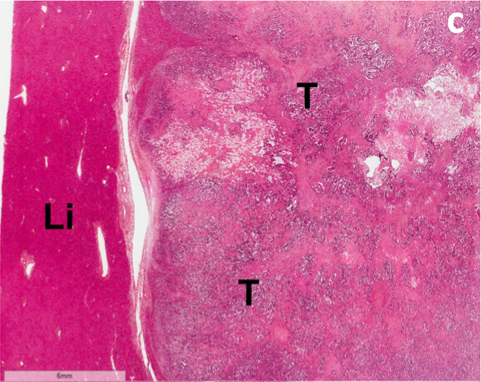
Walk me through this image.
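On the left the liver parenchyma is uniform and pink, with a few small vessels scattered through it. A sharp, smooth border with a narrow cleft separates it from the tumor on the right. The tumor forms large, densely cellular nodular areas with a purplish tint, interrupted by paler, patchy foci. No tumor nests are seen within the liver tissue next to the border.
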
